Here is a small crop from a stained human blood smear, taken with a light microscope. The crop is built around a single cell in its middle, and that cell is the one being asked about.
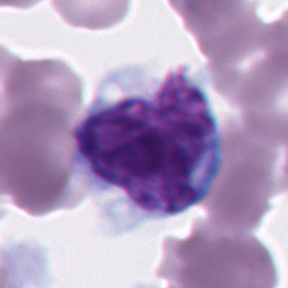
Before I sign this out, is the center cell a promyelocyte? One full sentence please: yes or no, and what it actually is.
No, the central cell here is a monocyte; calling it a promyelocyte is not right.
